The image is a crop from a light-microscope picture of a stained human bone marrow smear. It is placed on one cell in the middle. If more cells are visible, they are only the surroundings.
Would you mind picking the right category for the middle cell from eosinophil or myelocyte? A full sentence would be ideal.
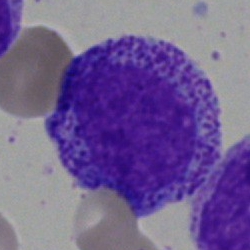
The centrally positioned cell in the crop represents a myelocyte.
